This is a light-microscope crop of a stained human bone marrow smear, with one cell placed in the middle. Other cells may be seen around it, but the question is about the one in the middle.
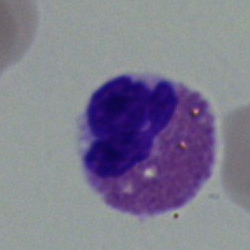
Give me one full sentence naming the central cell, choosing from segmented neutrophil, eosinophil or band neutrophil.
The crop's centre is taken up by an eosinophil.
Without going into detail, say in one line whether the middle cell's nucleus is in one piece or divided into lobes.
The nucleus has been partitioned into two or more lobes.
